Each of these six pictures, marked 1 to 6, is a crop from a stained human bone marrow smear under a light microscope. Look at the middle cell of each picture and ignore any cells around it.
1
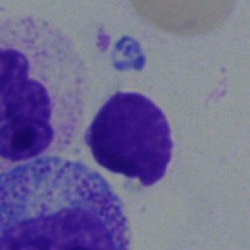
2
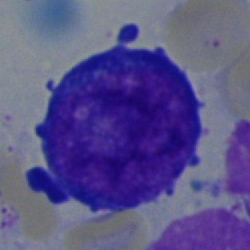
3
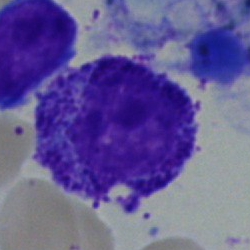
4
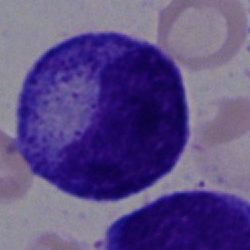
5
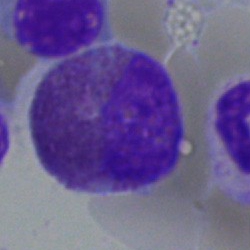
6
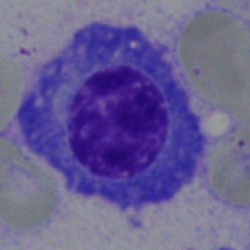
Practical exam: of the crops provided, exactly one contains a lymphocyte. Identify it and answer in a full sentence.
Crop 1 matches the request, showing a lymphocyte.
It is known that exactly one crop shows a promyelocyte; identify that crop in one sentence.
It is the cell in crop 4 that is a promyelocyte.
